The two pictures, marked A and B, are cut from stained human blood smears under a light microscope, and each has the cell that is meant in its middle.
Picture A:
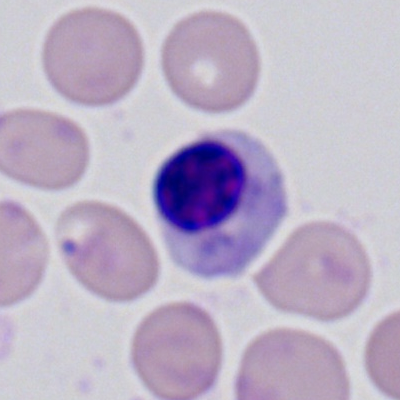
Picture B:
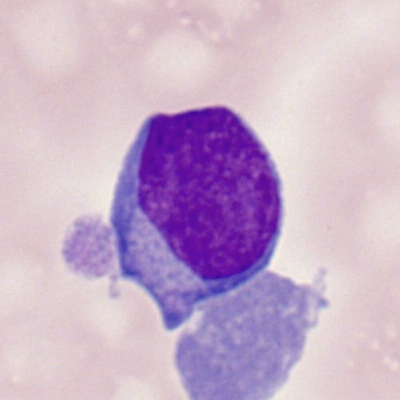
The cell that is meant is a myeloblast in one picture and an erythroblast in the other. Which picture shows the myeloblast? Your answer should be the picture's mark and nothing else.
B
